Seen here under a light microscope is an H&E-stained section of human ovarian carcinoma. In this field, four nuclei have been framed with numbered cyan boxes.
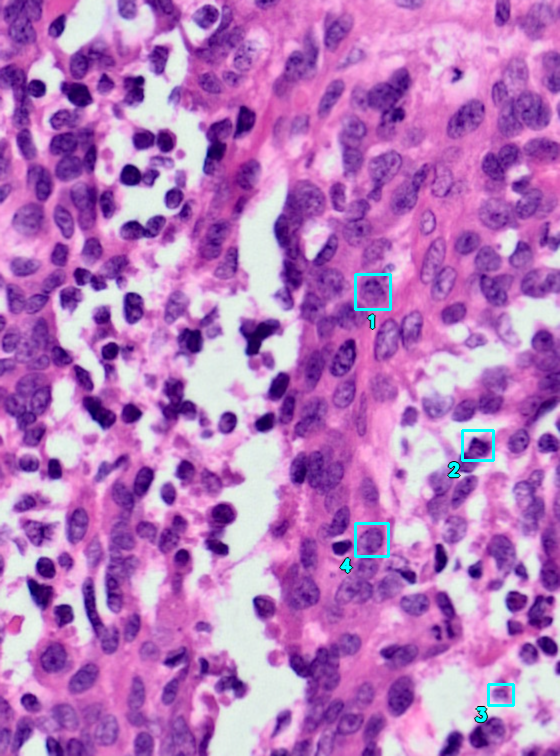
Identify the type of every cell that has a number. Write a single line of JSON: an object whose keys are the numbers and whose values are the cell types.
{"1": "carcinoma cell", "2": "carcinoma cell", "3": "macrophage or monocyte", "4": "carcinoma cell"}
